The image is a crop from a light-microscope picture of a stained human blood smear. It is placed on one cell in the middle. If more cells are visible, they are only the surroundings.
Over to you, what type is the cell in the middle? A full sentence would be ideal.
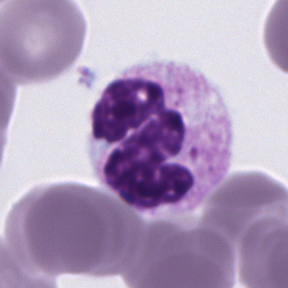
The cell at the middle of the frame should be recorded as a segmented neutrophil.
